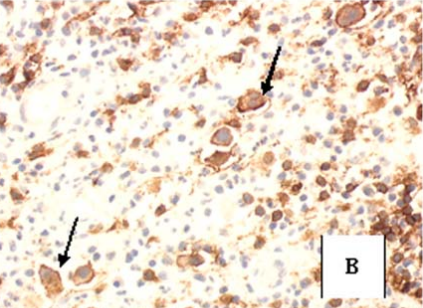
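This is a lymphoid infiltrate in which several large atypical cells stand out among numerous small lymphocytes. The large cells lie singly, scattered in a loose, pale background.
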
